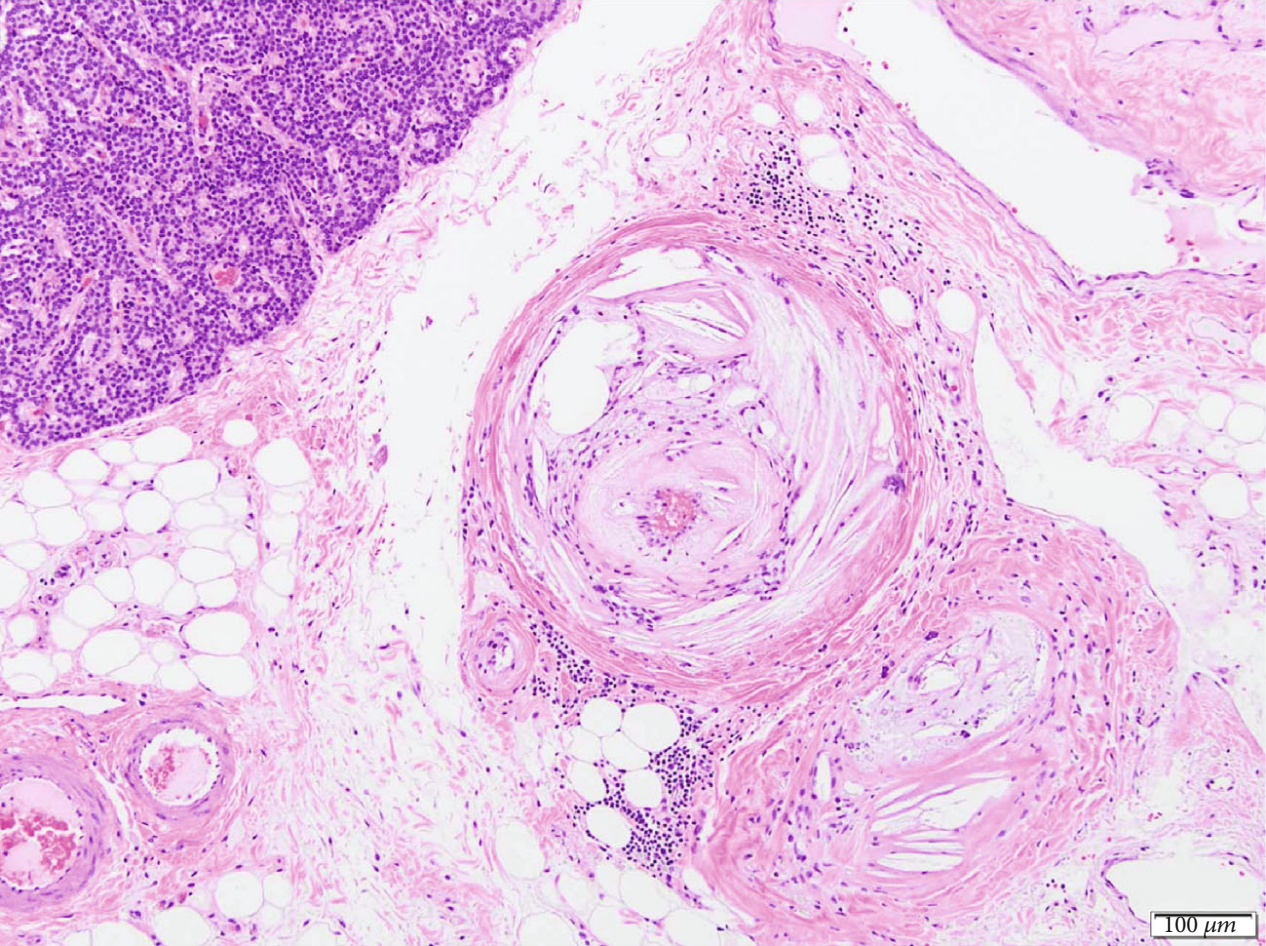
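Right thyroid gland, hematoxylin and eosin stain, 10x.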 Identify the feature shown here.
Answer: Artery.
